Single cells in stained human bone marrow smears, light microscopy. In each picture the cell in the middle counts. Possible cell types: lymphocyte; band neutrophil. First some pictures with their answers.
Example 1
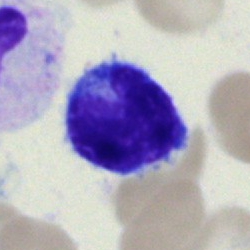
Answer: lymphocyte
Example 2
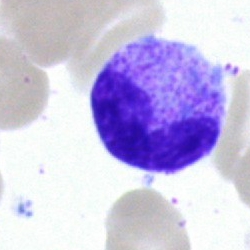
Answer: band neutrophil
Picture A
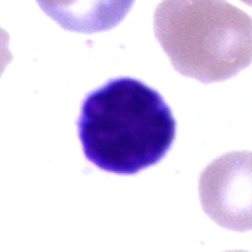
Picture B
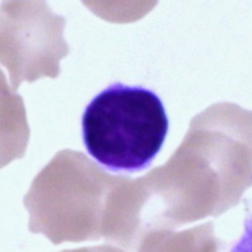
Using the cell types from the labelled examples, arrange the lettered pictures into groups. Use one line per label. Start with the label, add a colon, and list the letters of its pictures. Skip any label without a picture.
lymphocyte: A, B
